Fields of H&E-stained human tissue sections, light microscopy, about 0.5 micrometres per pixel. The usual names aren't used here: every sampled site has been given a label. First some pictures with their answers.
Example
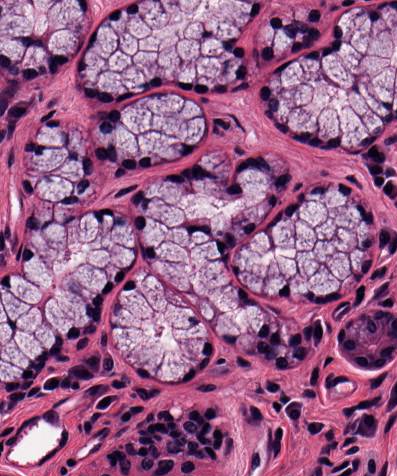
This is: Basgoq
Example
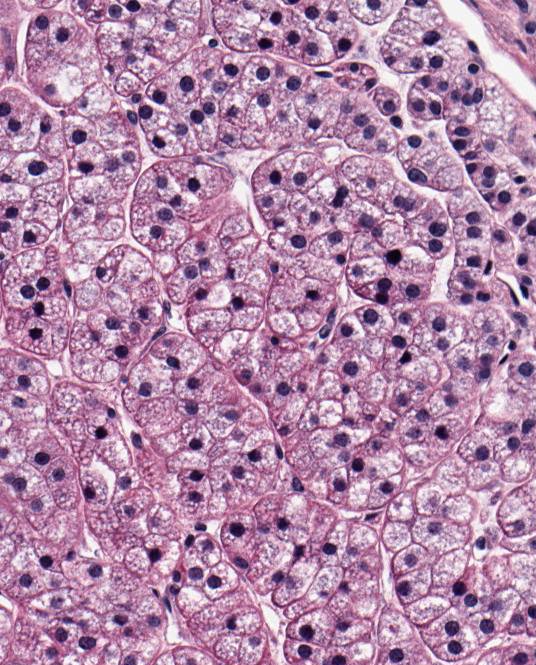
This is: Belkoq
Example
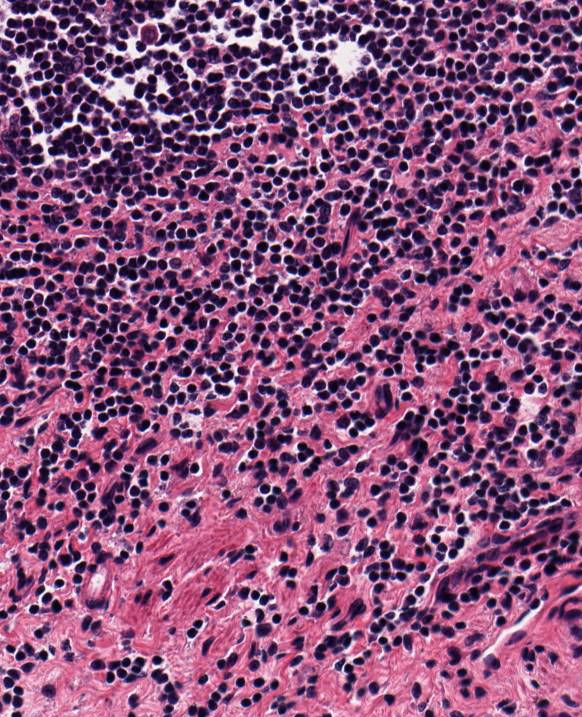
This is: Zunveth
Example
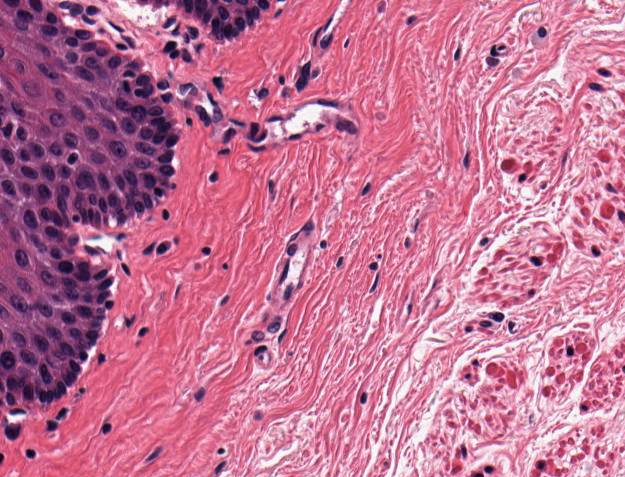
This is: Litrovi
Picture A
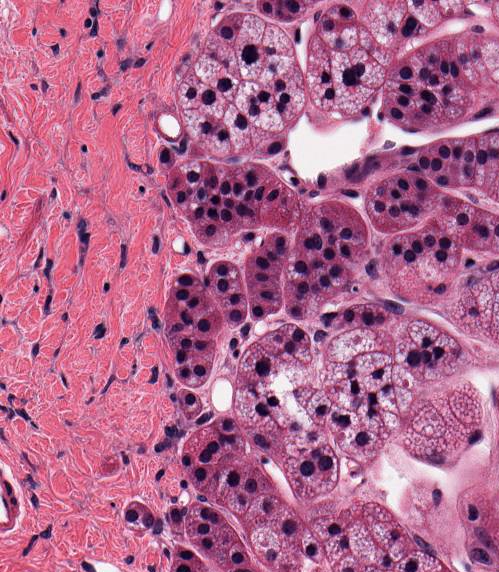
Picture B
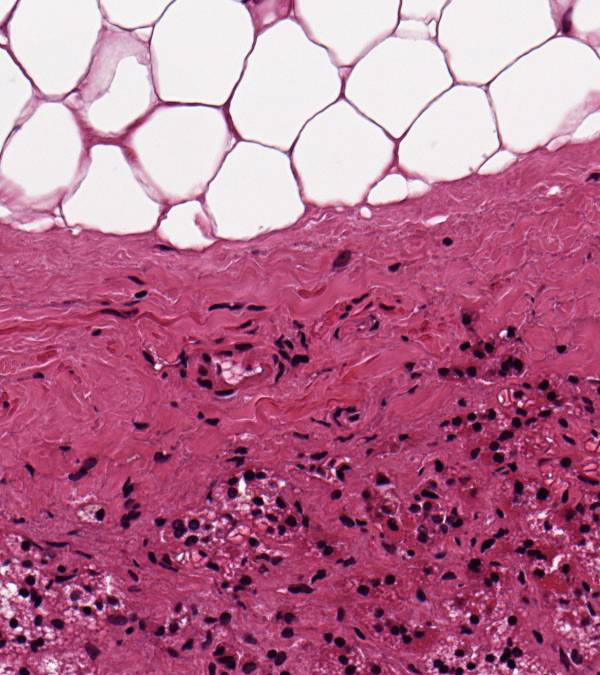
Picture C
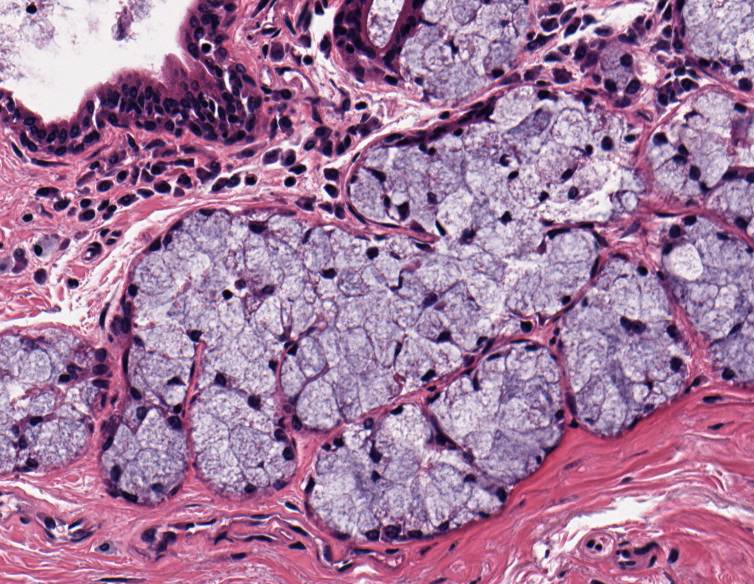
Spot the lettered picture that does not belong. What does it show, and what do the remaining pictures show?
Picture C: Litrovi. All others: Belkoq.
